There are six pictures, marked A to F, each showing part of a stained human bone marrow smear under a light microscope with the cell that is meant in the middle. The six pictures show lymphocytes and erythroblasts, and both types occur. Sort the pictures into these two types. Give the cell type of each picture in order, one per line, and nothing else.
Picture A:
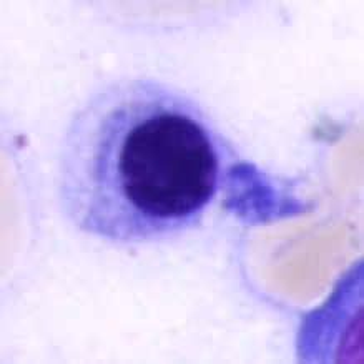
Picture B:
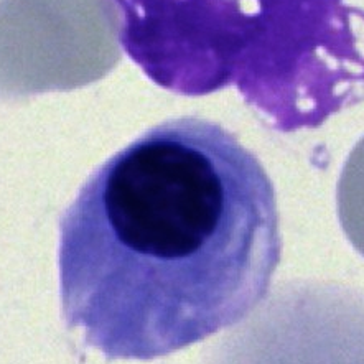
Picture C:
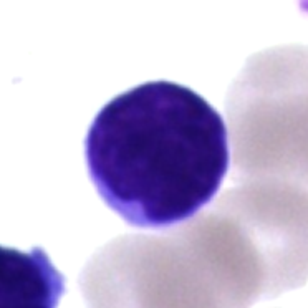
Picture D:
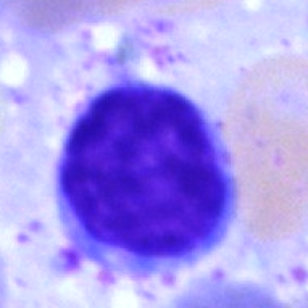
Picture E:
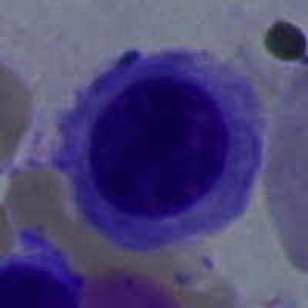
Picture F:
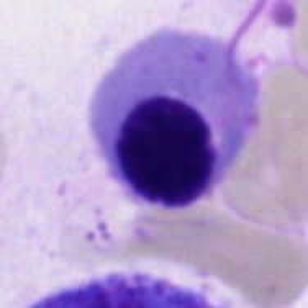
erythroblast
erythroblast
lymphocyte
lymphocyte
erythroblast
erythroblast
